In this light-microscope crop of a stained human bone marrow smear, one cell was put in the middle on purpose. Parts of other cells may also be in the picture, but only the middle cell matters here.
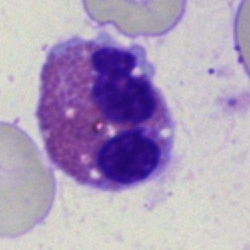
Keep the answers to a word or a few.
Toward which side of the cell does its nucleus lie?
right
